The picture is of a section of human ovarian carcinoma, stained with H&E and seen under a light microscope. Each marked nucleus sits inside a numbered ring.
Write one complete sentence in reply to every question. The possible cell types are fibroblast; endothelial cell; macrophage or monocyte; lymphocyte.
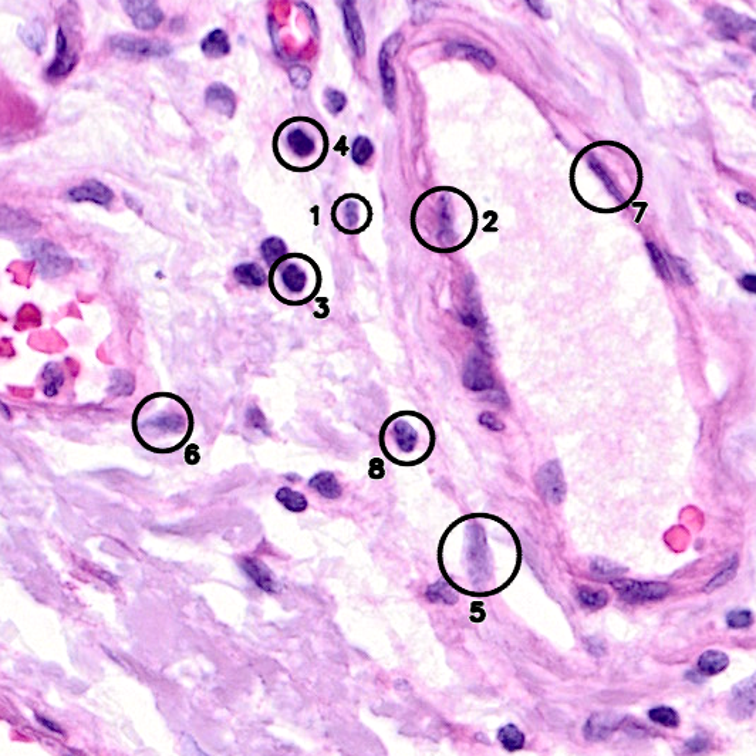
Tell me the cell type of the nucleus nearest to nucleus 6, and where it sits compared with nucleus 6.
An endothelial cell lies closest, above and to the left of nucleus 6.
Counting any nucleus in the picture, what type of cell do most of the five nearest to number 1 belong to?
Of the five nuclei nearest to number 1, most belong to lymphocytes.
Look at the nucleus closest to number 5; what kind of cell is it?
The nucleus nearest to number 5 is that of a macrophage or monocyte.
